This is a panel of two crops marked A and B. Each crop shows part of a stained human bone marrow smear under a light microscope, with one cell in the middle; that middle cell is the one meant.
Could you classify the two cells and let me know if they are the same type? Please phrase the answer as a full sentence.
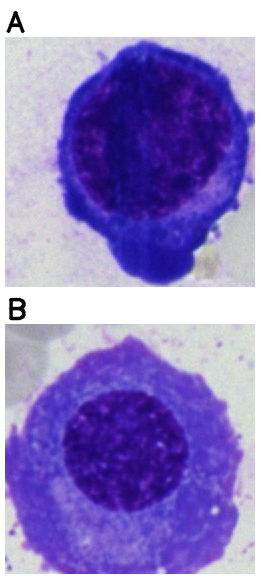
No, on this set crop A shows a proerythroblast and crop B shows a plasma cell.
